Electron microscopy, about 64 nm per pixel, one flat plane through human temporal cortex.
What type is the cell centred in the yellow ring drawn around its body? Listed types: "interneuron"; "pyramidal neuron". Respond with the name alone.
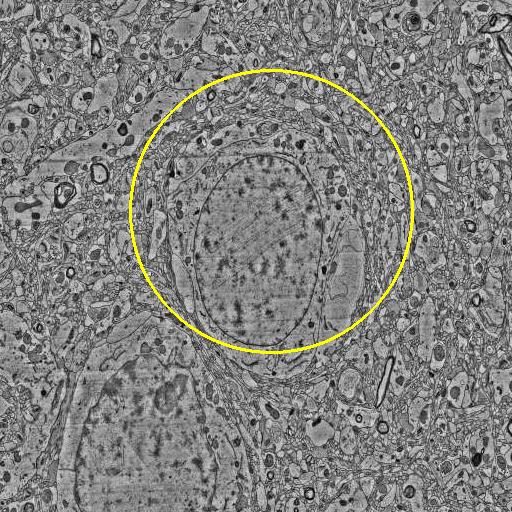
pyramidal neuron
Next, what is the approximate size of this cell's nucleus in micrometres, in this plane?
In this plane the nucleus measures roughly 12 by 9 micrometres.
